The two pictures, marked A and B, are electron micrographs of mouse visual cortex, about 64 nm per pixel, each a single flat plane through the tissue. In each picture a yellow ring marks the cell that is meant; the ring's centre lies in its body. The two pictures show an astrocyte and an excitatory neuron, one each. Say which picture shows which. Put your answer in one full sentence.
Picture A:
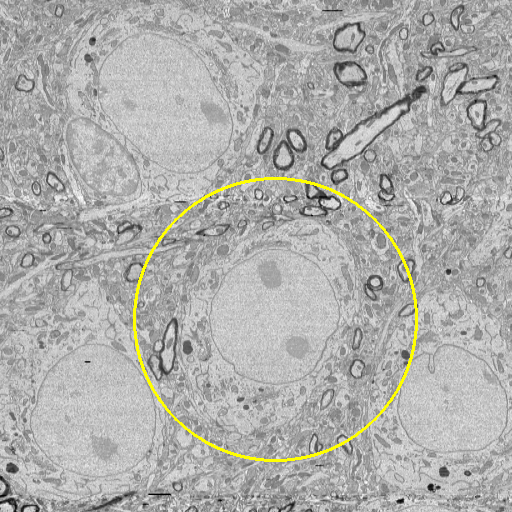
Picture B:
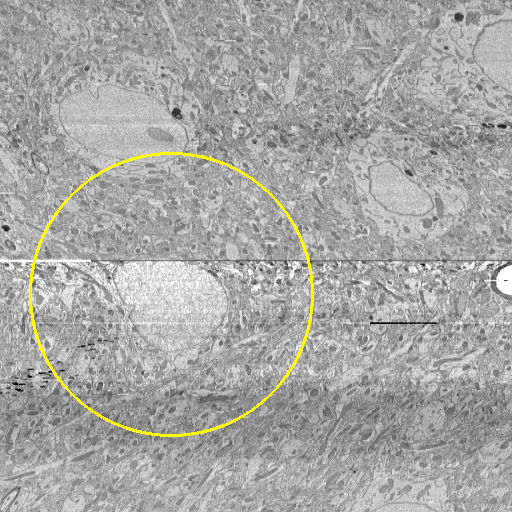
Picture B shows an astrocyte, while picture A shows an excitatory neuron.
